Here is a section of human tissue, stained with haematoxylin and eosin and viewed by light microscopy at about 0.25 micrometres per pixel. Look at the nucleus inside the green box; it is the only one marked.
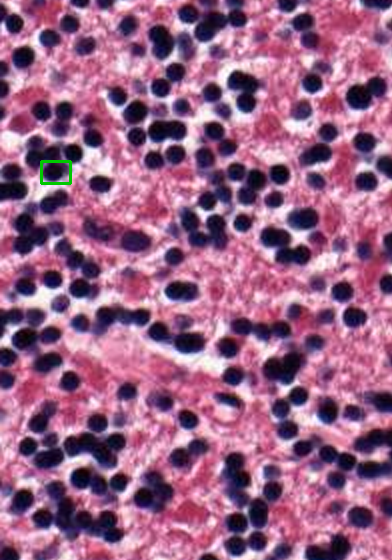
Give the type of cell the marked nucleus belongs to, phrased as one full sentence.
The cell to which the marked nucleus belongs is a cerebellar granule cell.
